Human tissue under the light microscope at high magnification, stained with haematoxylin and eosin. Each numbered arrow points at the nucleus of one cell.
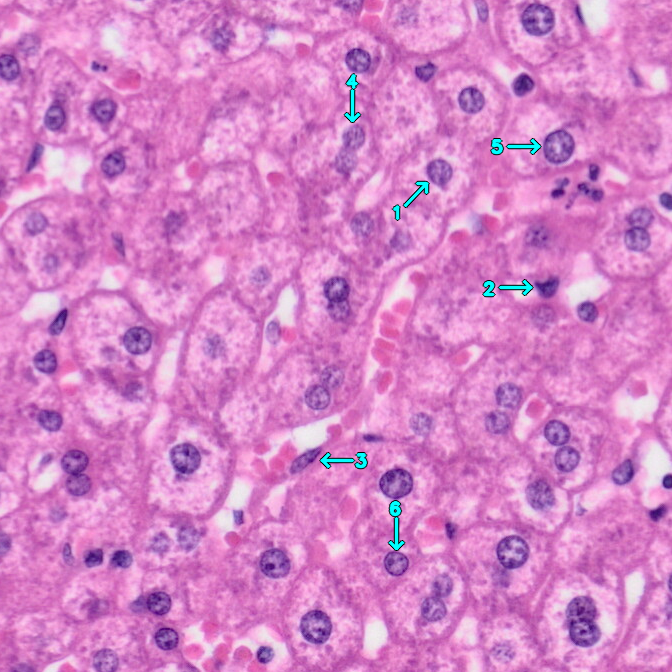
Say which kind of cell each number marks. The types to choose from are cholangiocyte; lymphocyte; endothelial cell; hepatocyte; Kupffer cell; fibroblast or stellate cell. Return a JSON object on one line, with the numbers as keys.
{"1": "hepatocyte", "2": "fibroblast or stellate cell", "3": "Kupffer cell", "4": "hepatocyte", "5": "hepatocyte", "6": "hepatocyte"}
